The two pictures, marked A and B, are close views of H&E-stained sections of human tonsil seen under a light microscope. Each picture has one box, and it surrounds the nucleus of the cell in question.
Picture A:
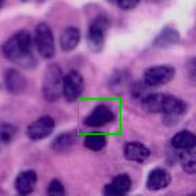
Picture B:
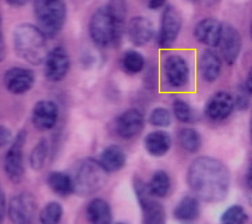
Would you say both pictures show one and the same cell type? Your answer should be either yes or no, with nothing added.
yes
